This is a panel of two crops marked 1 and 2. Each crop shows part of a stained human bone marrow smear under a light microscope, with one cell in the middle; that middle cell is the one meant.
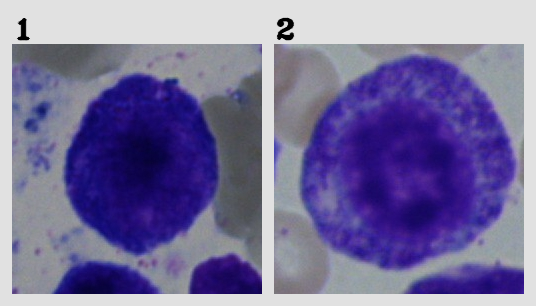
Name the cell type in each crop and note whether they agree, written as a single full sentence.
Yes, put down promyelocytes for both crops.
